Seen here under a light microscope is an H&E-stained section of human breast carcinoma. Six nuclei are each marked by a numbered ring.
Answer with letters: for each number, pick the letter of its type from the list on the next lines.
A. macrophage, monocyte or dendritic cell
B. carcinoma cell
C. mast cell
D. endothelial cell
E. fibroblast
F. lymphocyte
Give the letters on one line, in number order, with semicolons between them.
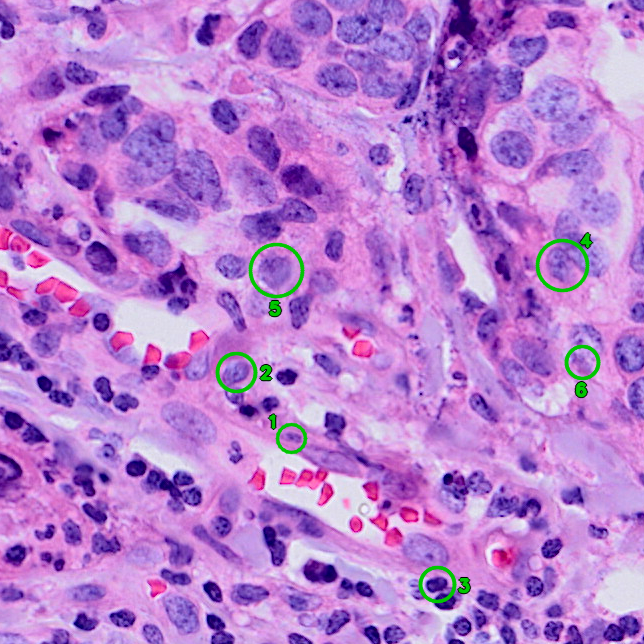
D; D; F; B; B; B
